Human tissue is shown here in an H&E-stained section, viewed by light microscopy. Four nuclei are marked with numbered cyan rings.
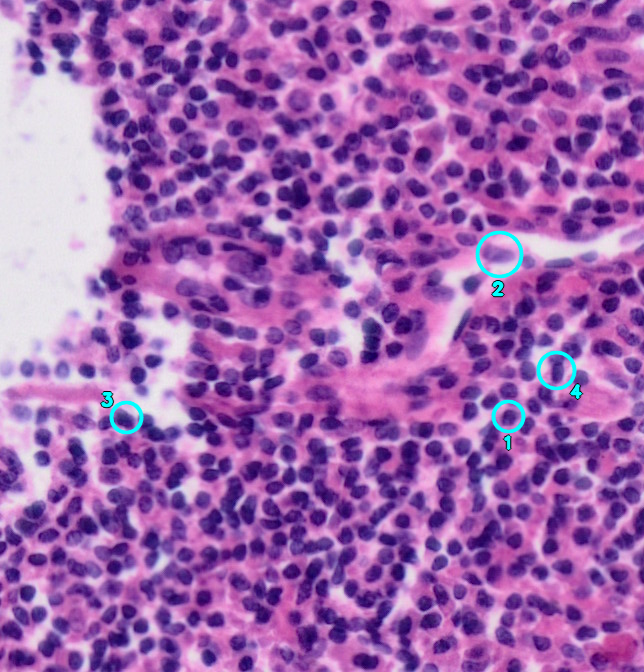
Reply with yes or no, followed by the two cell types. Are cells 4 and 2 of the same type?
No, cell 4 is a small lymphocyte and cell 2 is an endothelial cell.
